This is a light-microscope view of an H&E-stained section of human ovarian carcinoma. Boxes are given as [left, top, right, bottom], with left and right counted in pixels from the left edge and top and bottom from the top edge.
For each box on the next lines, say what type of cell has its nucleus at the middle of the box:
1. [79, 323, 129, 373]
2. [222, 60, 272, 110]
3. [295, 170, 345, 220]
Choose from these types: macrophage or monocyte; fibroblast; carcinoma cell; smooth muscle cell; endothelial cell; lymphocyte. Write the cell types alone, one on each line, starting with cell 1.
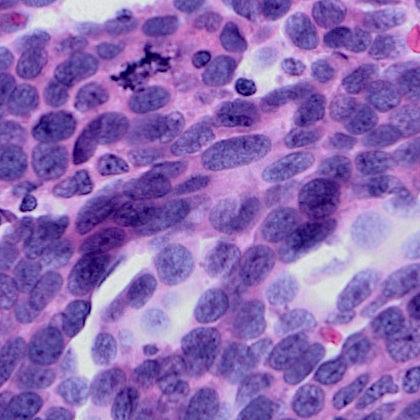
carcinoma cell
lymphocyte
carcinoma cell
